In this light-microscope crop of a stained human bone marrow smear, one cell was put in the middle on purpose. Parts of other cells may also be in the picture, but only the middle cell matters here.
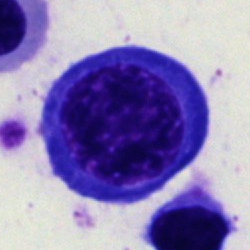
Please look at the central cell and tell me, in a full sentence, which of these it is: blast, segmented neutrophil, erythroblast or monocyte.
Seen at the centre of the crop is an erythroblast.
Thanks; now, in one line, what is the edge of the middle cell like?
Happy to help: the outline is smooth and shows no projections.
